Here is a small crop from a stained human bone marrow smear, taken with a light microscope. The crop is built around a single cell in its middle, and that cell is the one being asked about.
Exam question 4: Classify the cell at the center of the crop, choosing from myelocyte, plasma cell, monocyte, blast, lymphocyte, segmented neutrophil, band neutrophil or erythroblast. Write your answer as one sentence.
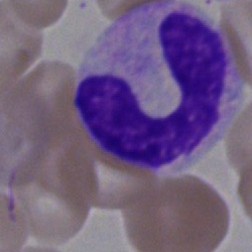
Framed in the middle of the crop is a band neutrophil.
